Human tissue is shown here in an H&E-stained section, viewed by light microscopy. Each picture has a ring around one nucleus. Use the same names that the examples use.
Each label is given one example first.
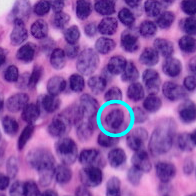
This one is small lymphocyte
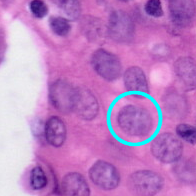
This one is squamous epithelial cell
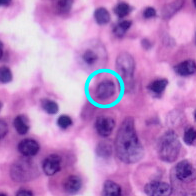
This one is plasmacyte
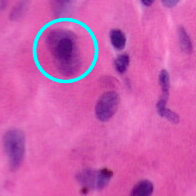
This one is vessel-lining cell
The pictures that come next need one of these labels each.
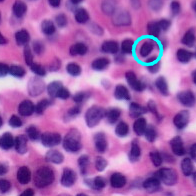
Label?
small lymphocyte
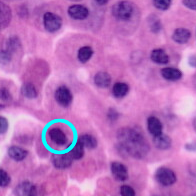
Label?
plasmacyte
